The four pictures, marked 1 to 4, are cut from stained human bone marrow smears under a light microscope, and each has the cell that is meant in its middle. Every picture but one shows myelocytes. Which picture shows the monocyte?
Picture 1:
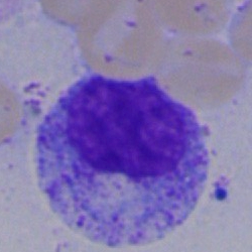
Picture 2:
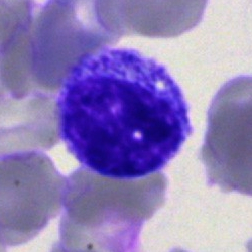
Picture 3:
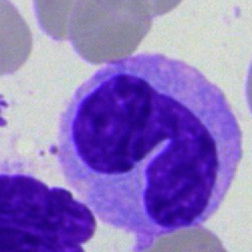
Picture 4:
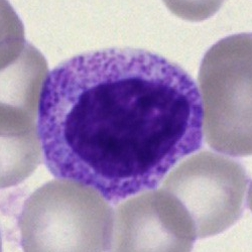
3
